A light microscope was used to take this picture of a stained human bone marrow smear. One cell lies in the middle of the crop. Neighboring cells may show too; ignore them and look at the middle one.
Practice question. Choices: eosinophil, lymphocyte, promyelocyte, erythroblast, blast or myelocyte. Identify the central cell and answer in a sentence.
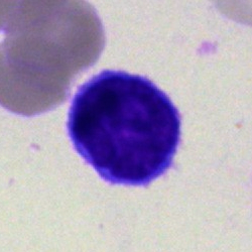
Framed in the middle of the crop is a lymphocyte.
